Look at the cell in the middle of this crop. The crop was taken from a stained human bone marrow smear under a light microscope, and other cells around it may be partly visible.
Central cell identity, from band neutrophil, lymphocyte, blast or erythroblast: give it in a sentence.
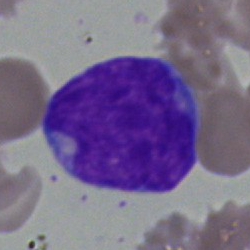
The cell at the middle of the frame should be recorded as a blast.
